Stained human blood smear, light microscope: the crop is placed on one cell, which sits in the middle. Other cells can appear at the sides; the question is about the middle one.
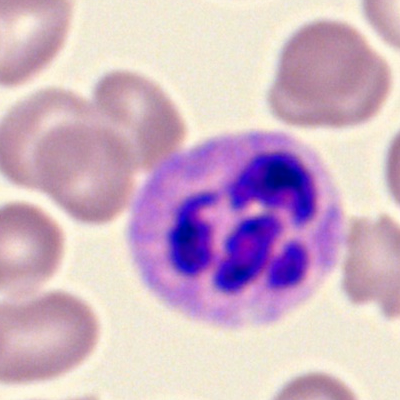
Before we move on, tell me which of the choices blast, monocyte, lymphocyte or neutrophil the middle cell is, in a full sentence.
The cell centered in this field of view is a neutrophil.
